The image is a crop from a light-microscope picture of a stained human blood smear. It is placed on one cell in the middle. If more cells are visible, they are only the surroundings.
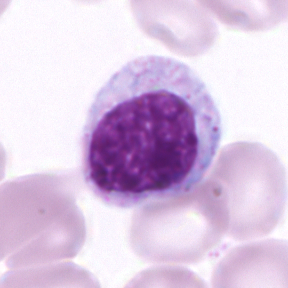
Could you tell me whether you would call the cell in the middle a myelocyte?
no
